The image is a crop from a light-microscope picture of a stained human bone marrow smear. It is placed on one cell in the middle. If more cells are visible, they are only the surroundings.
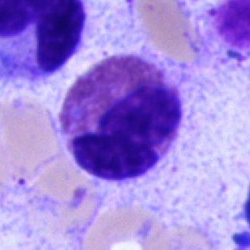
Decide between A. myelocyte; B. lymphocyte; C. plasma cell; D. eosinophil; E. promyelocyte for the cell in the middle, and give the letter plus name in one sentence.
The cell placed in the middle is an eosinophil; option D is correct.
